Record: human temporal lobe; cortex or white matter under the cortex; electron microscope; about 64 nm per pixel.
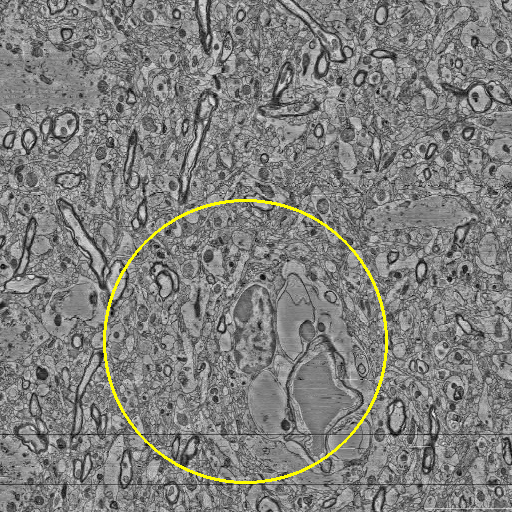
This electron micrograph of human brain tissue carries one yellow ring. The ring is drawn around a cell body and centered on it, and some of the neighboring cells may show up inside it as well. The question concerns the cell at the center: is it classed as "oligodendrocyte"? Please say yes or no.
No, it is classed as another kind.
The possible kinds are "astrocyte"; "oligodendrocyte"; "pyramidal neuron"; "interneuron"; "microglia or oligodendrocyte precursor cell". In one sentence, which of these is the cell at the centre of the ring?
The ring holds a microglial cell or oligodendrocyte precursor cell at its centre.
